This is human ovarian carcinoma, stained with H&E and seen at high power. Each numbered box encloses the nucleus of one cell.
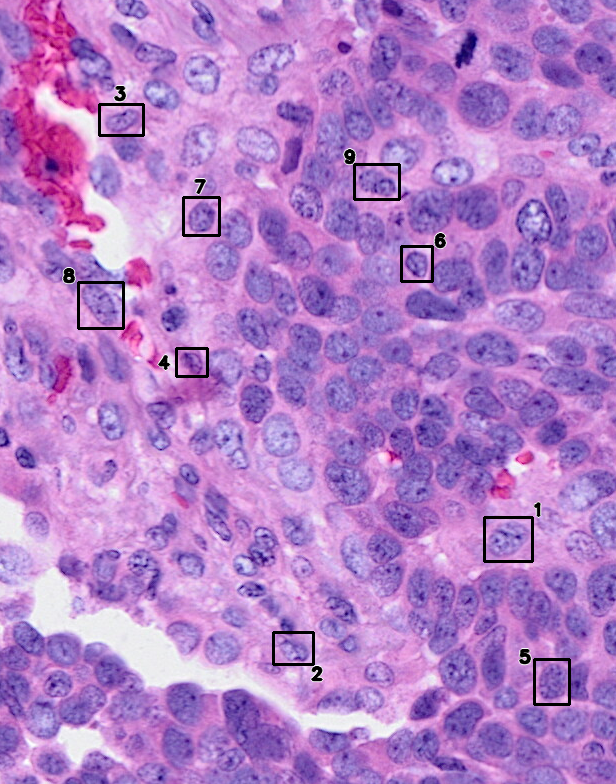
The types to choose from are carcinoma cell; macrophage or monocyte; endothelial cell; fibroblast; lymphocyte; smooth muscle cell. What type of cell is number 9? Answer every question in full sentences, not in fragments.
The nucleus labelled 9 belongs to a macrophage or monocyte.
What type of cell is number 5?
The cell pointed out by number 5 is a carcinoma cell.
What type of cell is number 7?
The cell assigned the number 7 is a macrophage or monocyte.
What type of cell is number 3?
Corresponding to an endothelial cell is the cell labelled 3.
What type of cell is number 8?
The cell bearing label 8 corresponds to an endothelial cell.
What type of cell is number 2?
The cell to which the number 2 is assigned is a fibroblast.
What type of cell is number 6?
Recognised here as a macrophage or monocyte is the cell numbered 6.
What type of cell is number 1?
Here, the cell given the number 1 is a fibroblast.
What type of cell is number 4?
Among the marked cells, number 4 is a macrophage or monocyte.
